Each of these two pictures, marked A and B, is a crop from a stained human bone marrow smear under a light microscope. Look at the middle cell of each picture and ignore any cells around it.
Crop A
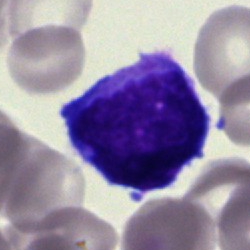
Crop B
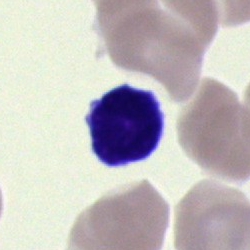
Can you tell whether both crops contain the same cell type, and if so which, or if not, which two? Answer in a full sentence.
No, crop A carries a blast and crop B carries a lymphocyte.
